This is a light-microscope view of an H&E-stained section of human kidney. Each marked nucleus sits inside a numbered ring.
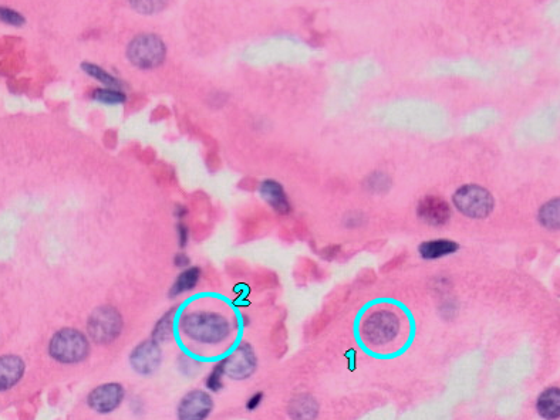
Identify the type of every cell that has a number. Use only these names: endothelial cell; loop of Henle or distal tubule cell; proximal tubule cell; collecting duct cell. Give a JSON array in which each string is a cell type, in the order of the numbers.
["proximal tubule cell", "collecting duct cell"]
